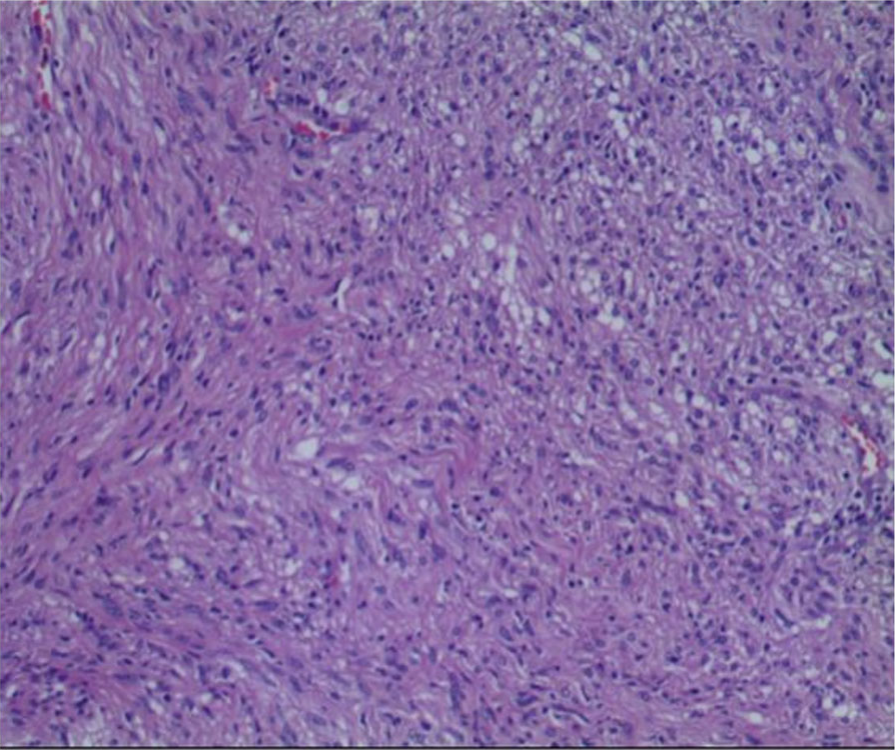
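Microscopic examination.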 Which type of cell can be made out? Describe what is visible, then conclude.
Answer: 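Spindle-shaped cells. The cells run in streams and bundles within pink fibrillar matrix.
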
